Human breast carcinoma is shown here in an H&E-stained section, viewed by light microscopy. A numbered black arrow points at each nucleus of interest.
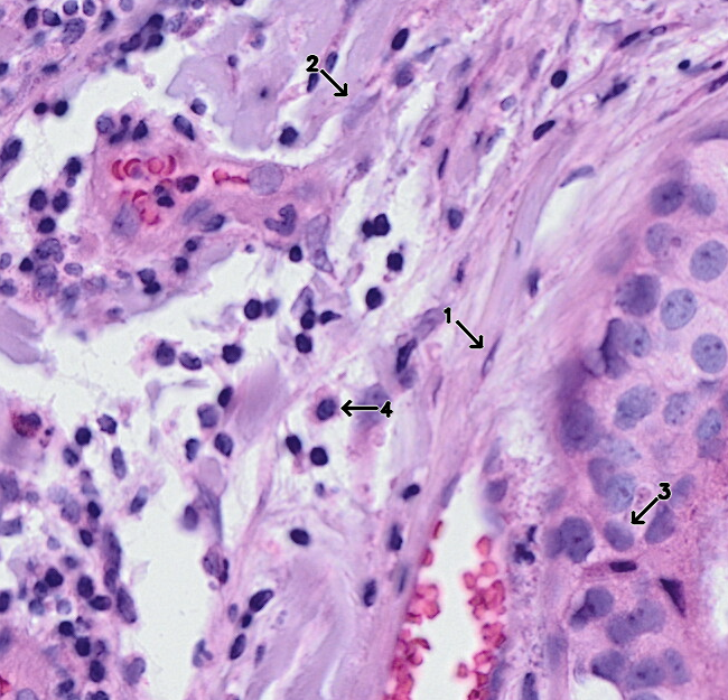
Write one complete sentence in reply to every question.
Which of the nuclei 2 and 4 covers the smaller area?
Nucleus 4 is the smaller one; nucleus 2 covers about 1.5 times its area.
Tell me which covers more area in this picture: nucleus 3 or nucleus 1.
At about 3 times the area of nucleus 1, nucleus 3 is the larger of the two.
